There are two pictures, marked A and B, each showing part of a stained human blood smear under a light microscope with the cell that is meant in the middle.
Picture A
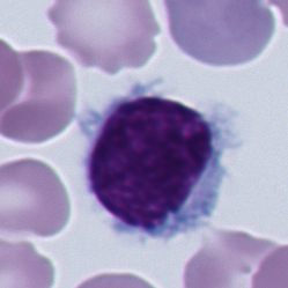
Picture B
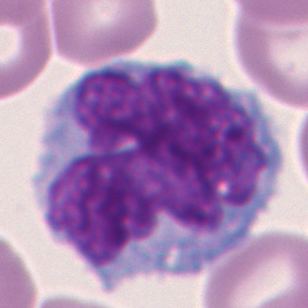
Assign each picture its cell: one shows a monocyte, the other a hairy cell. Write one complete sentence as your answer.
Picture A is of a hairy cell, and picture B is of a monocyte.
